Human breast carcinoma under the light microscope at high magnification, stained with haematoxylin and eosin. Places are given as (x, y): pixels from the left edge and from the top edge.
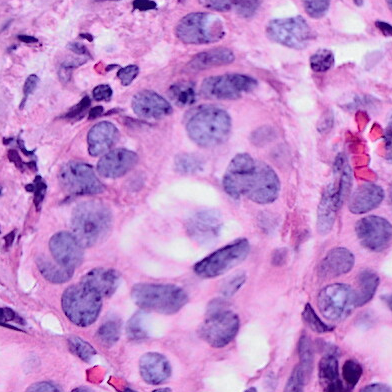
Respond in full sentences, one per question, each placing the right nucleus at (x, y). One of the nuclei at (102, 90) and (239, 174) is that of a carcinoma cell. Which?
That would be the nucleus at (239, 174); it belongs to a carcinoma cell.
